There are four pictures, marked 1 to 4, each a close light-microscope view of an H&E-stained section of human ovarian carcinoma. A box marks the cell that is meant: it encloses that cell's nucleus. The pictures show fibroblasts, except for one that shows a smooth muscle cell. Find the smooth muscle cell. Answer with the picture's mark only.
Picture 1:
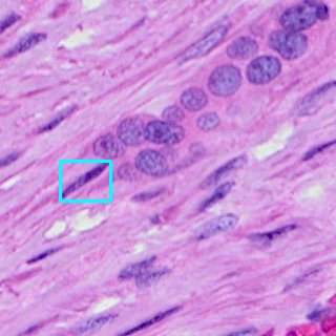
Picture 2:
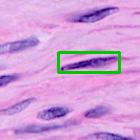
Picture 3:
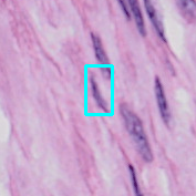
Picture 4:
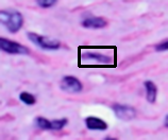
2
